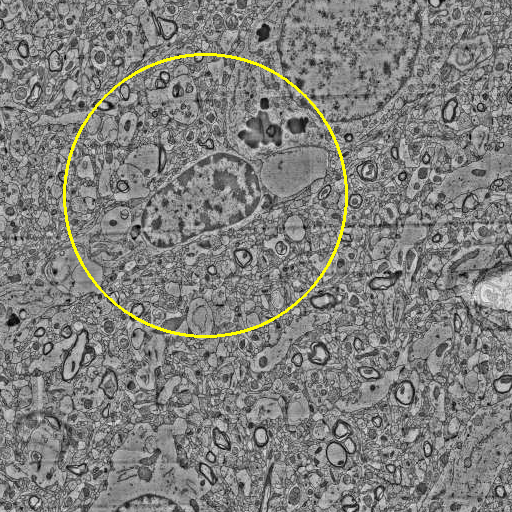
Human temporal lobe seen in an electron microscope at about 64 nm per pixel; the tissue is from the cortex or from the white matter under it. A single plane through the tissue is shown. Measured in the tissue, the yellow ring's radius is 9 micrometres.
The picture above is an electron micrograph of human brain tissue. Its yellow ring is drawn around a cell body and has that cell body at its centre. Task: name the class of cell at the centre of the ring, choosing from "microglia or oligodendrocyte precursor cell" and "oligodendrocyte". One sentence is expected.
The ring surrounds the body of a microglial cell or oligodendrocyte precursor cell.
